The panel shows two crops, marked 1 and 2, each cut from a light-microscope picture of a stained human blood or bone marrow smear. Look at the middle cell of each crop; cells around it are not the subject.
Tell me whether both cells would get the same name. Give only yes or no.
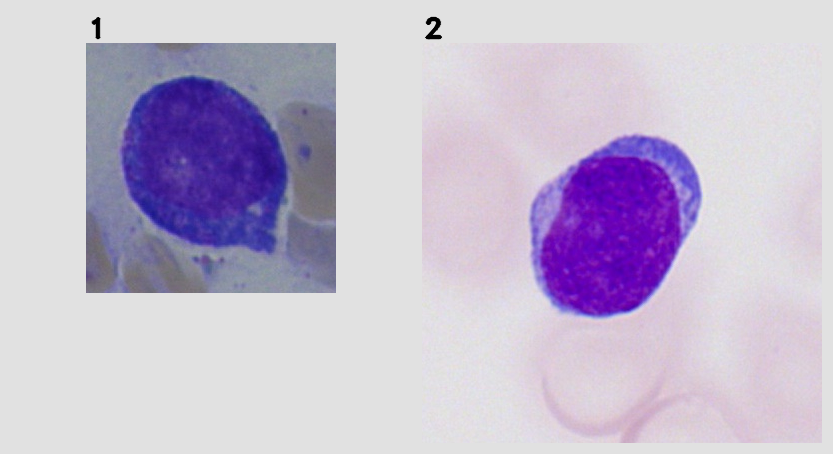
yes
